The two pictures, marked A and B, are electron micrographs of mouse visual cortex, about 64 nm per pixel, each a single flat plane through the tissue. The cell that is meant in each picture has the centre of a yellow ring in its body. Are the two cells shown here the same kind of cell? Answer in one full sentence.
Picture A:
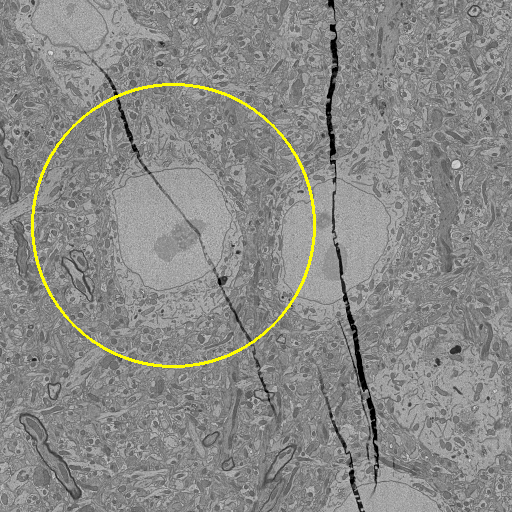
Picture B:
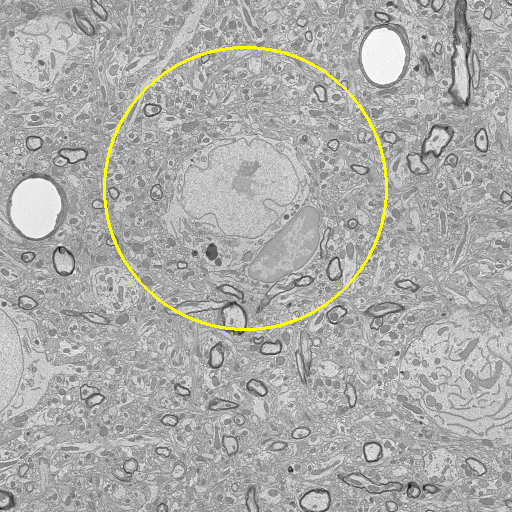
No; the cell in picture A is an excitatory neuron, while the one in picture B is an inhibitory neuron.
